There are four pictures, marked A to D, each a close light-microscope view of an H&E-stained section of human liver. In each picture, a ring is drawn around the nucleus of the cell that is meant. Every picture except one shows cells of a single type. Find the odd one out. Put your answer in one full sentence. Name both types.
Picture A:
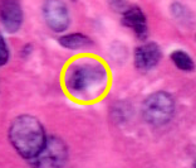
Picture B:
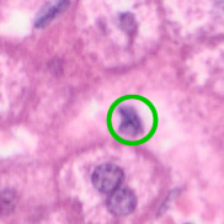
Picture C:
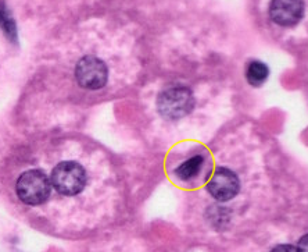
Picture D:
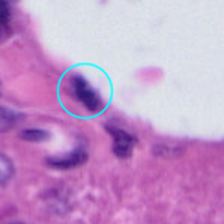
Picture B is the odd one out: it shows an endothelial cell, while the others show “fibroblasts or stellate cells”.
